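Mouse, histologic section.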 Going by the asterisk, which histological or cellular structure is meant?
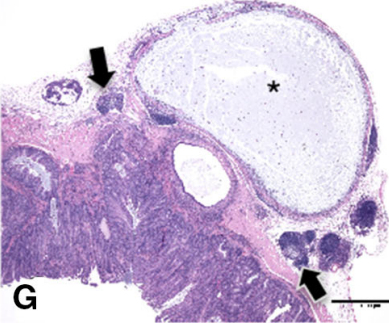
mucinous serosal cyst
